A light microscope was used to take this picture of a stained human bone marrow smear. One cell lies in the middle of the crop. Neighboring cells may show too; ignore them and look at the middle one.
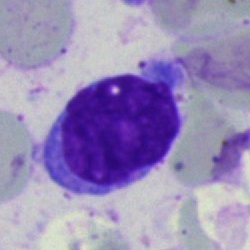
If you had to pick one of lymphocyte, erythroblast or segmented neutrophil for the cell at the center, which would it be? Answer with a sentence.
The central element of this crop is a cell, namely a lymphocyte.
